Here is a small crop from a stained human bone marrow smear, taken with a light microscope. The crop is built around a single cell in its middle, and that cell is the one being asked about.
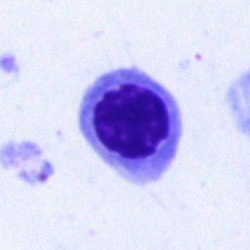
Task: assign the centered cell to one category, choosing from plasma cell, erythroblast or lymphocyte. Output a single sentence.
What the crop centres on is an erythroblast.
